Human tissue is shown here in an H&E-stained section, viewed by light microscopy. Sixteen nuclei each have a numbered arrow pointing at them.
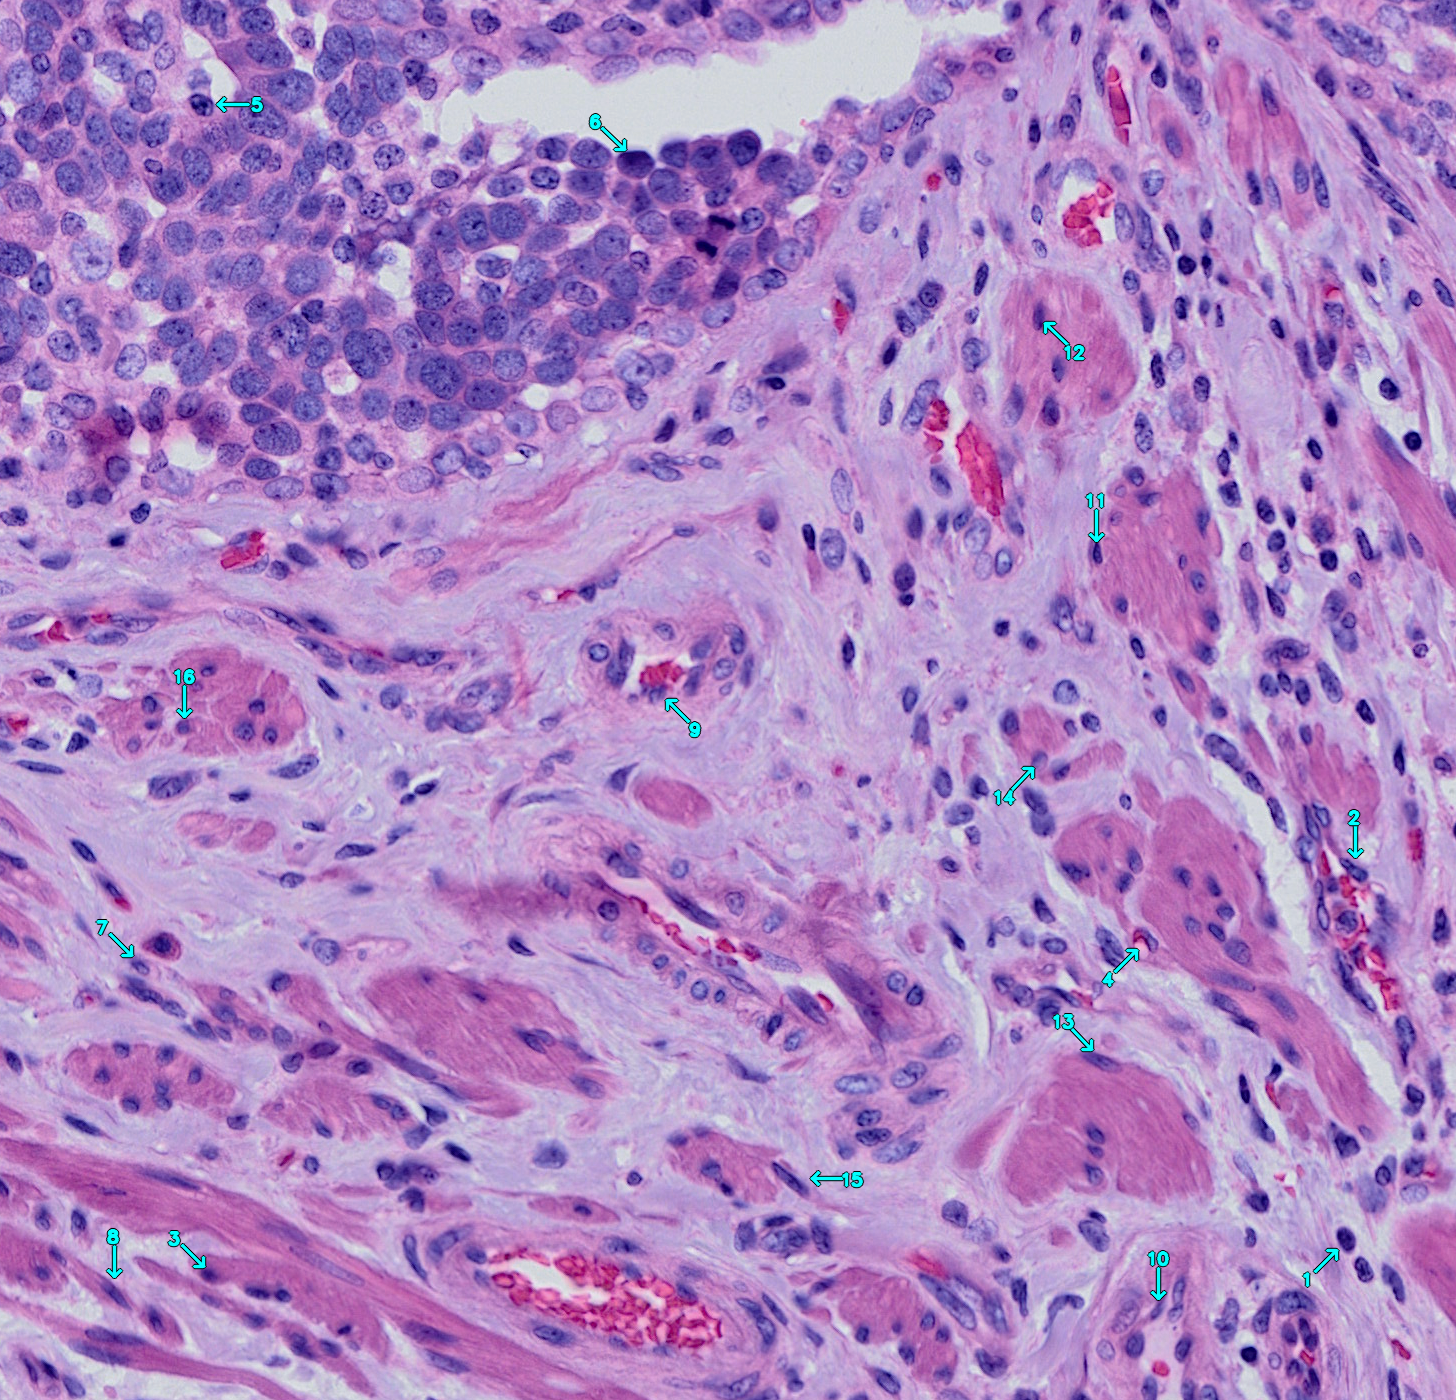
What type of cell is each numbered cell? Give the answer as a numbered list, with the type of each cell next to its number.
1. lymphocyte
2. endothelial cell
3. smooth muscle cell
4. endothelial cell
5. lymphocyte
6. carcinoma cell
7. endothelial cell
8. smooth muscle cell
9. endothelial cell
10. endothelial cell
11. smooth muscle cell
12. smooth muscle cell
13. smooth muscle cell
14. smooth muscle cell
15. smooth muscle cell
16. smooth muscle cell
